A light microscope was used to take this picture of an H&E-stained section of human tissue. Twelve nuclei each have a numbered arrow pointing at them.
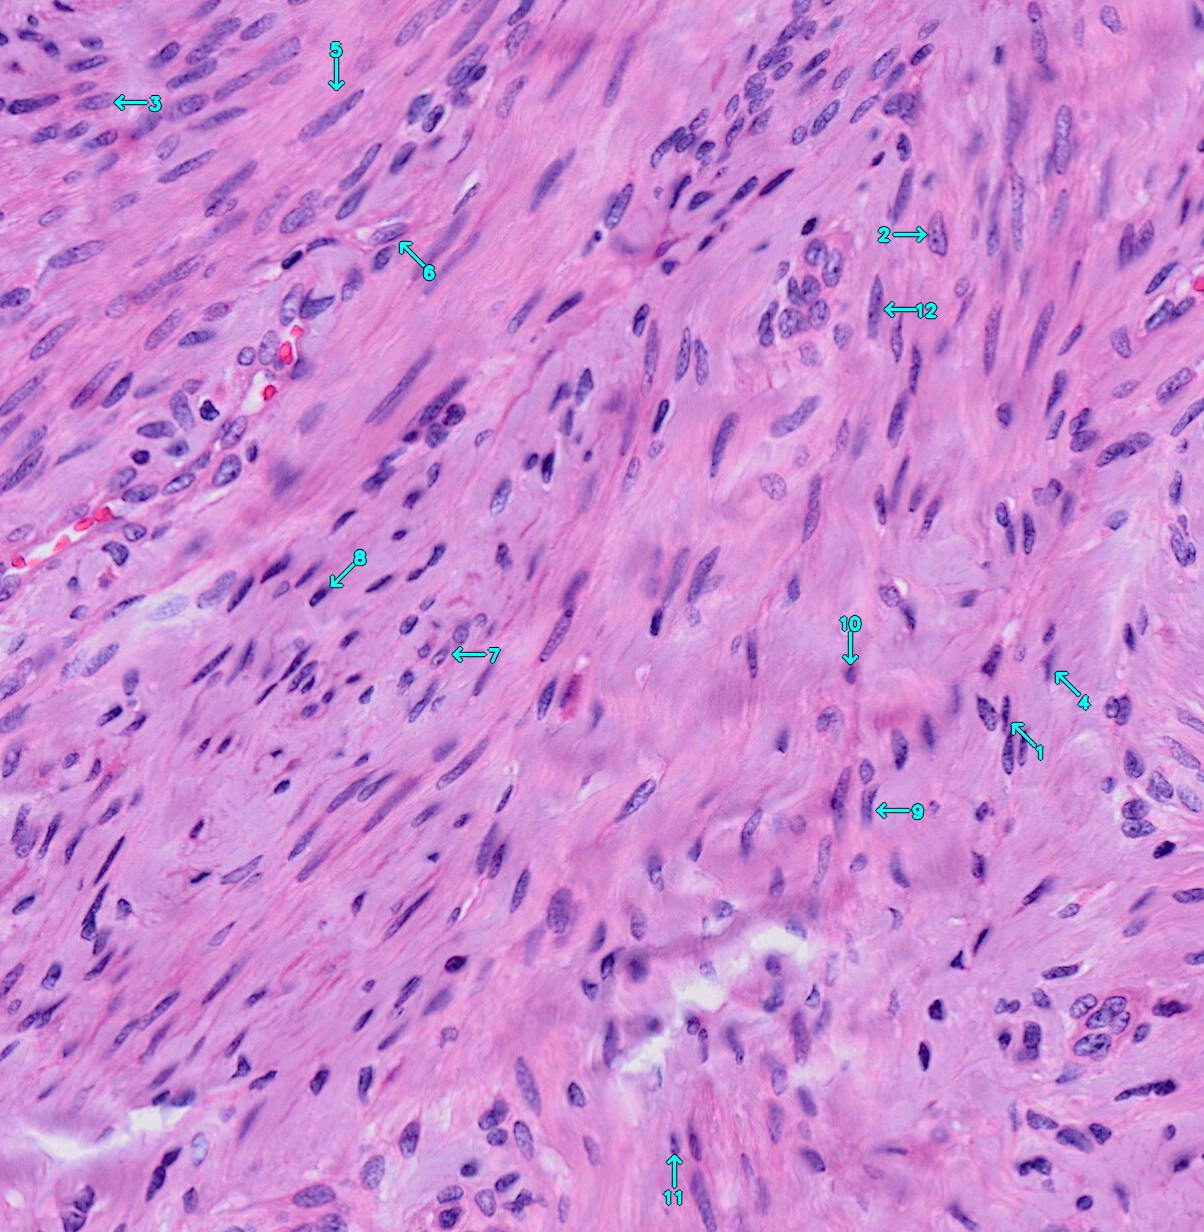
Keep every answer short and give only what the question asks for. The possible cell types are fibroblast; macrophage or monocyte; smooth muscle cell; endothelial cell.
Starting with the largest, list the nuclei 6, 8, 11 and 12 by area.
12, 6, 8, 11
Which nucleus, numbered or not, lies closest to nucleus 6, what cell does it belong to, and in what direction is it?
an endothelial cell; above and to the right of nucleus 6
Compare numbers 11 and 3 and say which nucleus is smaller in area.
11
